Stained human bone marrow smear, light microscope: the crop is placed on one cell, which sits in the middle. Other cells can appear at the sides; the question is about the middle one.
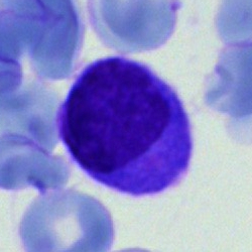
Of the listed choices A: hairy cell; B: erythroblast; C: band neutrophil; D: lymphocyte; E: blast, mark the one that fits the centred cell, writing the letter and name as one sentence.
The one cell at the centre is a blast, as correctly stated in option E.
